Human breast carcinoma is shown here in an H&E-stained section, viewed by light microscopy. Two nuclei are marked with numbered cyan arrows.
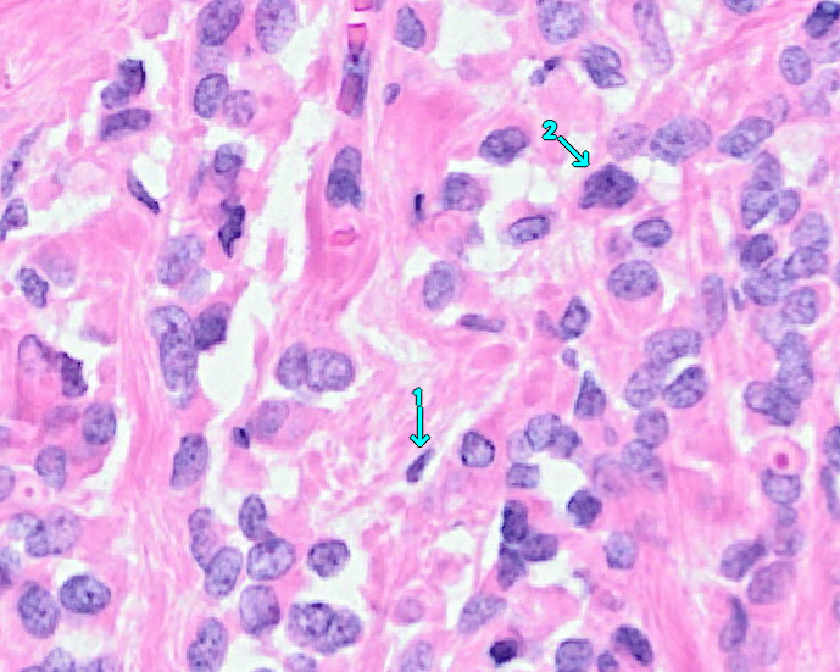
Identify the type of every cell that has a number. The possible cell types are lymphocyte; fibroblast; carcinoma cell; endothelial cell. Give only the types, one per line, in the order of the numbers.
fibroblast
carcinoma cell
